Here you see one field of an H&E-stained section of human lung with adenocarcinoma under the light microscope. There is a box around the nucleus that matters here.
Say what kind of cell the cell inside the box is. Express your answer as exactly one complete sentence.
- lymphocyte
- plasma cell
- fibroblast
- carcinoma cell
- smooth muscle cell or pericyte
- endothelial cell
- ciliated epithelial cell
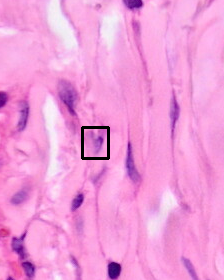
The identity of the cell inside the box: it is a fibroblast.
